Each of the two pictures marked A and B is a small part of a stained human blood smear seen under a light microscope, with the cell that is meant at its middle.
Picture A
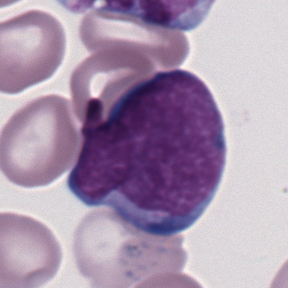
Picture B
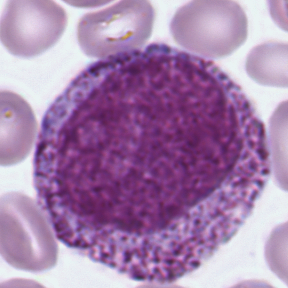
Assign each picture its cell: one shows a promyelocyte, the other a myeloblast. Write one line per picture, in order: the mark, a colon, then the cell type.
A: myeloblast
B: promyelocyte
